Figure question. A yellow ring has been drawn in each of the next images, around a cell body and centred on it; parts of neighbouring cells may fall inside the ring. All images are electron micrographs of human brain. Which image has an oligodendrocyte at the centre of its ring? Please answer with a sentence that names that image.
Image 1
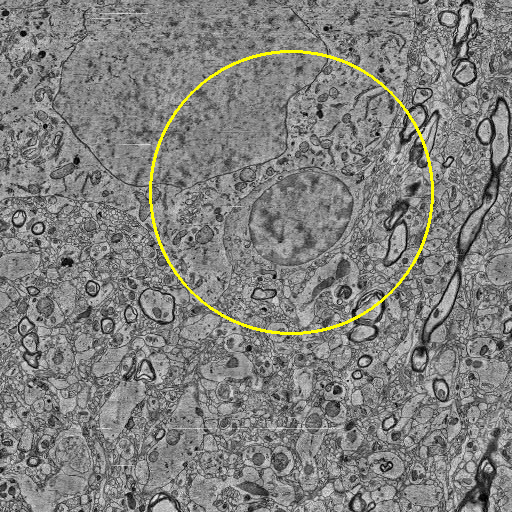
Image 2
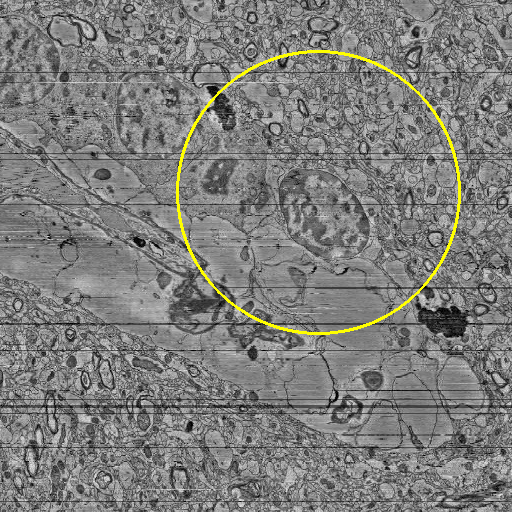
The cell at the centre of the ring in Image 1 is of that kind.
